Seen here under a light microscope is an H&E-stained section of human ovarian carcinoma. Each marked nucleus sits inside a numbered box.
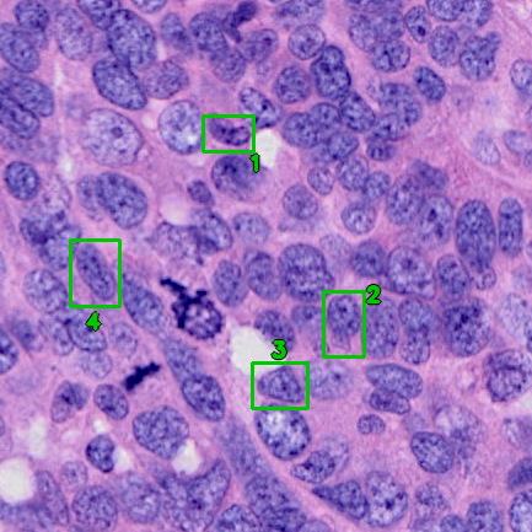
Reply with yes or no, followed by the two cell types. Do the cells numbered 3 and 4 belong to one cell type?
Yes, the two numbered cells 3 and 4 are both carcinoma cells.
